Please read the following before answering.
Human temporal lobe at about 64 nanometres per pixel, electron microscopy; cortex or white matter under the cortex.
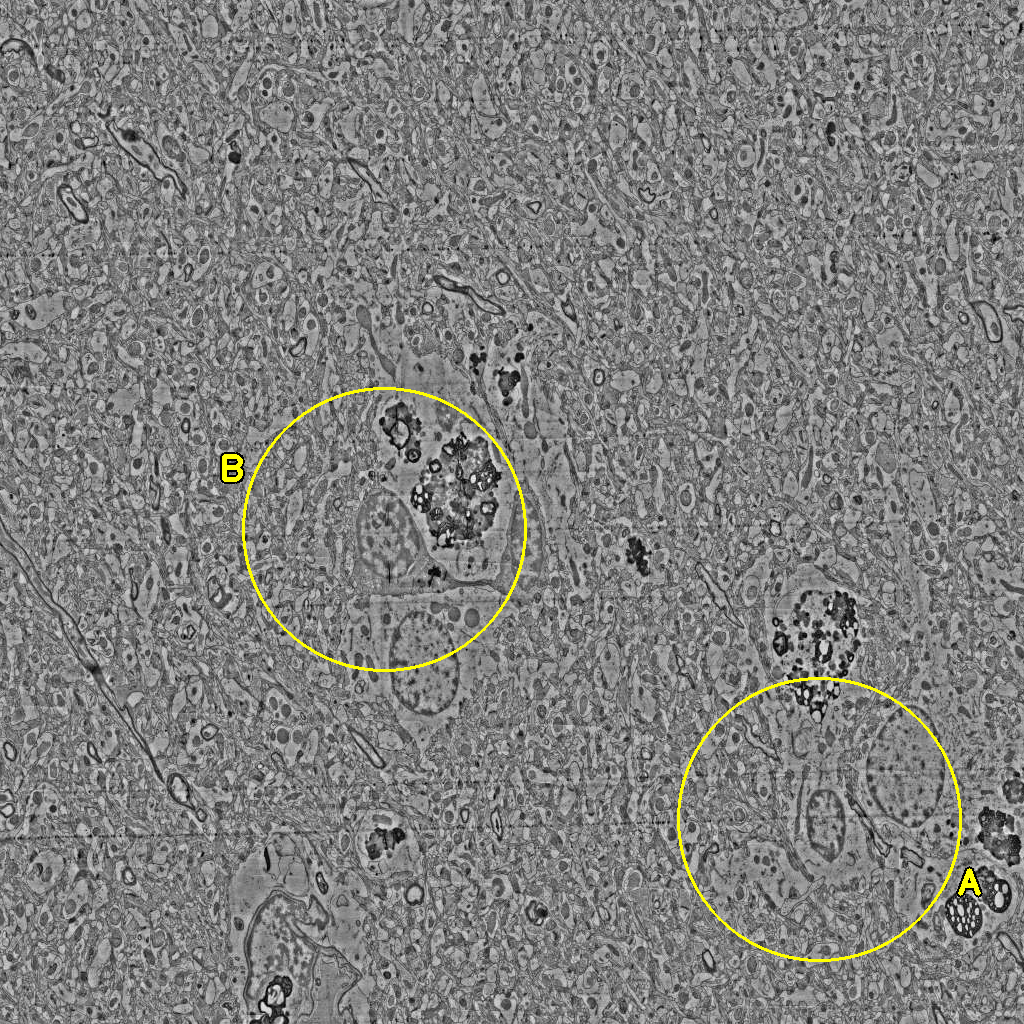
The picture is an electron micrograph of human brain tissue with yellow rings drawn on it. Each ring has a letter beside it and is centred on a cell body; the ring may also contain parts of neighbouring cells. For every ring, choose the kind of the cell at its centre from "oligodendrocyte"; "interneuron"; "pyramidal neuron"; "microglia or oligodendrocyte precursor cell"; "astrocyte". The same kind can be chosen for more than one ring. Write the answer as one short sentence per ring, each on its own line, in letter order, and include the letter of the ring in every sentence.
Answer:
The kind of cell at the centre of ring A is an astrocyte.
The kind of cell at the centre of ring B is an oligodendrocyte.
